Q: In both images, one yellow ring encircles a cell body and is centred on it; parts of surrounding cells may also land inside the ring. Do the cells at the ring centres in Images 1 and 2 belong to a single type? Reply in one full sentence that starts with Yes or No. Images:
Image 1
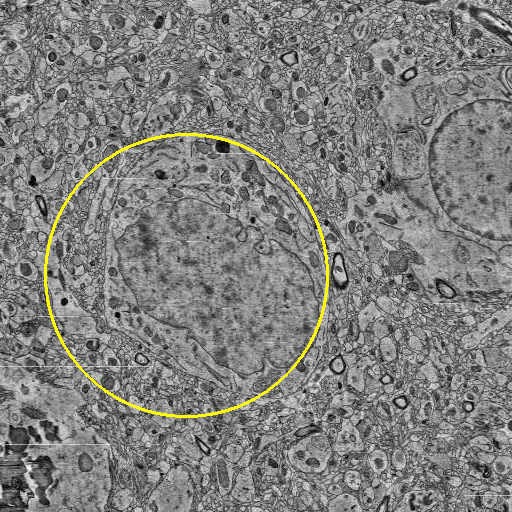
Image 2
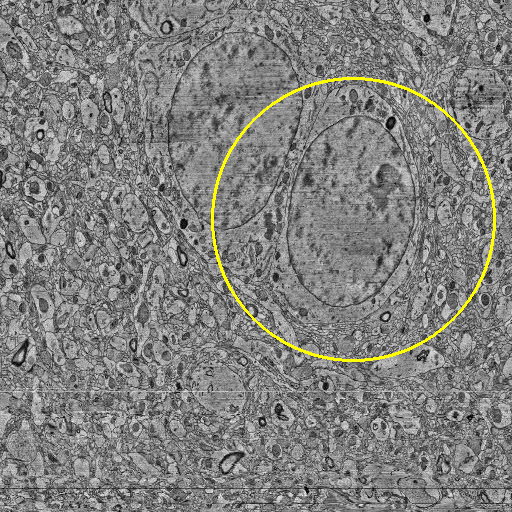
No, the cells at the ring centres in Images 1 and 2 are of two types.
